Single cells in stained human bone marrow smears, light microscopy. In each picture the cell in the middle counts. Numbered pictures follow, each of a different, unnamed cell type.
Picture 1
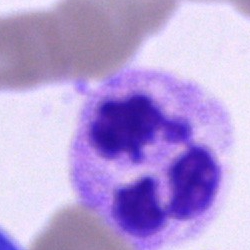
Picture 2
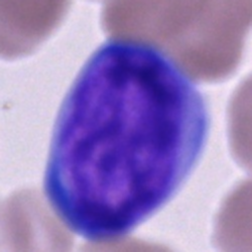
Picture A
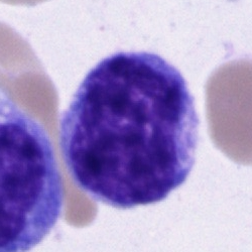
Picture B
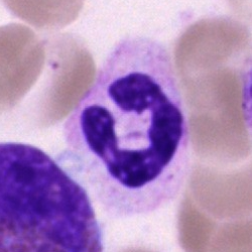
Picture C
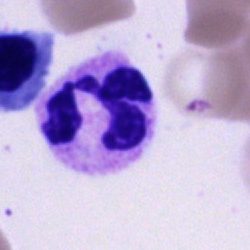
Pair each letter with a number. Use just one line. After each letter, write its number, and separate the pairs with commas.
A 2, B 1, C 1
